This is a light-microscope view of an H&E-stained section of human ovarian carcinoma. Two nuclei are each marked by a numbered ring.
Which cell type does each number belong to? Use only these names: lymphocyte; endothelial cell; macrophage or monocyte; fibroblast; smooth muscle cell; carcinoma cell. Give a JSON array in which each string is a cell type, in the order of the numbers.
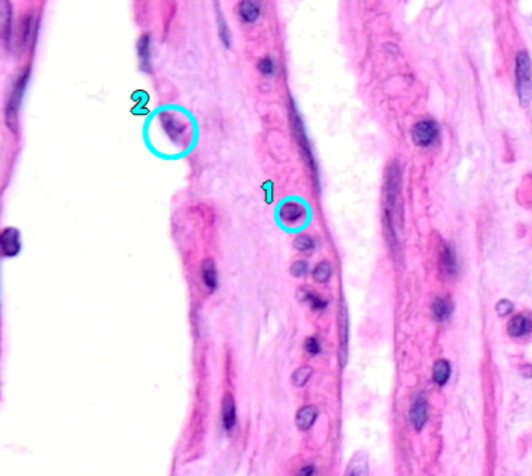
["smooth muscle cell", "endothelial cell"]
